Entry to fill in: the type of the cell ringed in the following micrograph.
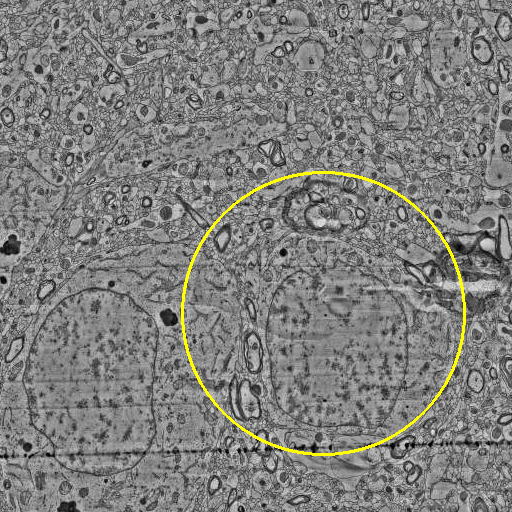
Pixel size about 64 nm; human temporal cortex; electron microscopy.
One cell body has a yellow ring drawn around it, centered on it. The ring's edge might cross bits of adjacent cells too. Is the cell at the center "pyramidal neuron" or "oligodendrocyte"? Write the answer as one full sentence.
This entry names a pyramidal neuron as the cell whose body lies at the ring's center.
